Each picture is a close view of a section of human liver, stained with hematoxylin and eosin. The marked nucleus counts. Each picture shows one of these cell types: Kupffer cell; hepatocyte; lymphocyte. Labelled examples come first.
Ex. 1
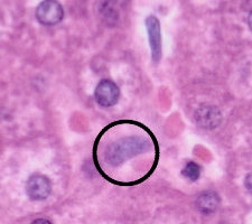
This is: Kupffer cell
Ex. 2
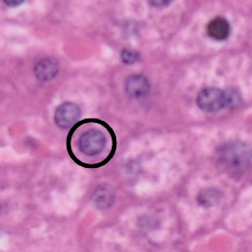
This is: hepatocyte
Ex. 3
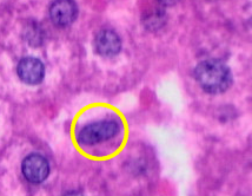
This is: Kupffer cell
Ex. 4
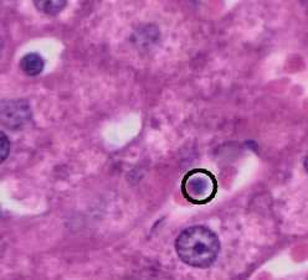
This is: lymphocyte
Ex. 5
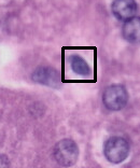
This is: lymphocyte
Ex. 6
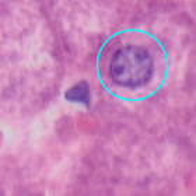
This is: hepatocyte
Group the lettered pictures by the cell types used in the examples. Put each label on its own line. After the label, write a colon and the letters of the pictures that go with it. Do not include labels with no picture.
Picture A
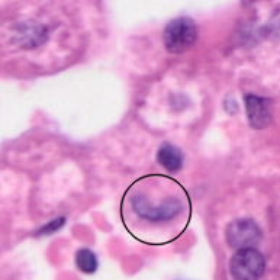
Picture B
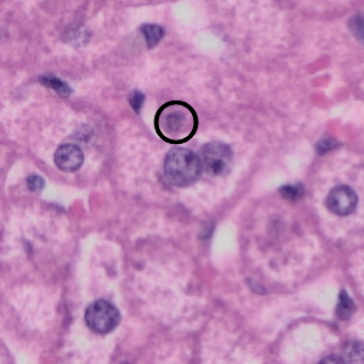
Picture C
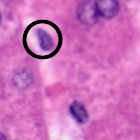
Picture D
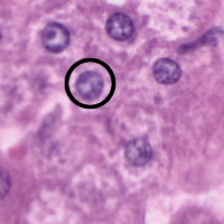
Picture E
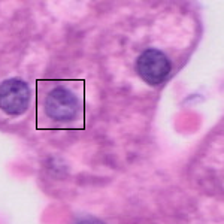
Kupffer cell: A, B
hepatocyte: D, E
lymphocyte: C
